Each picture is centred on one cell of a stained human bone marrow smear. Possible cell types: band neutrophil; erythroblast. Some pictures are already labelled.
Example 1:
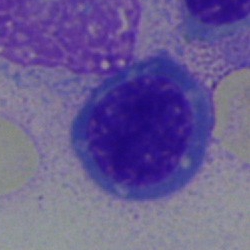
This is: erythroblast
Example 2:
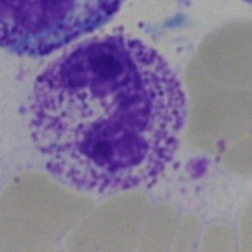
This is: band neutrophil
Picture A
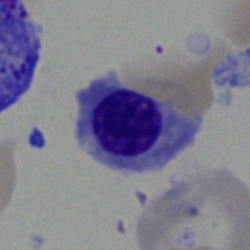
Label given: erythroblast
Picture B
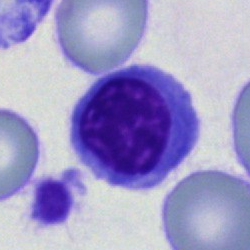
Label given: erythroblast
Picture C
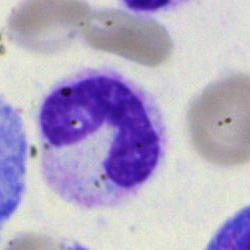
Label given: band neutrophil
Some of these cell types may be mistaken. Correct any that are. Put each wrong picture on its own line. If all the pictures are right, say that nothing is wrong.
None of the labels needs changing.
